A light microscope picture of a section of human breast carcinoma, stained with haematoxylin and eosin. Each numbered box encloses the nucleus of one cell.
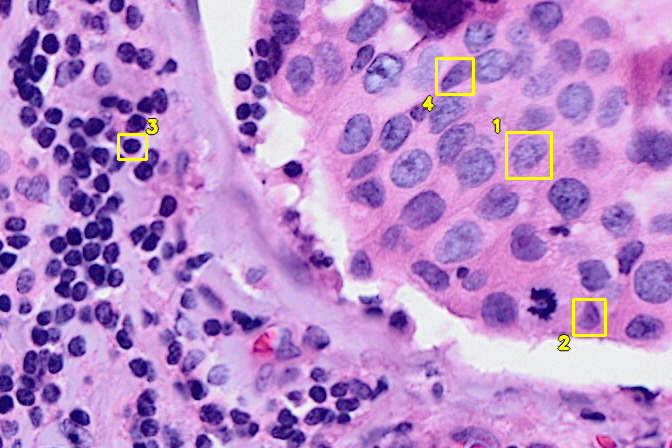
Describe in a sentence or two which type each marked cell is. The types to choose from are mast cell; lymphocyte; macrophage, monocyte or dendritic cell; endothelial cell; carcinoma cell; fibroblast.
Cell 1 is a carcinoma cell, cell 2 is a carcinoma cell, cell 3 is a lymphocyte and cell 4 is a carcinoma cell.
